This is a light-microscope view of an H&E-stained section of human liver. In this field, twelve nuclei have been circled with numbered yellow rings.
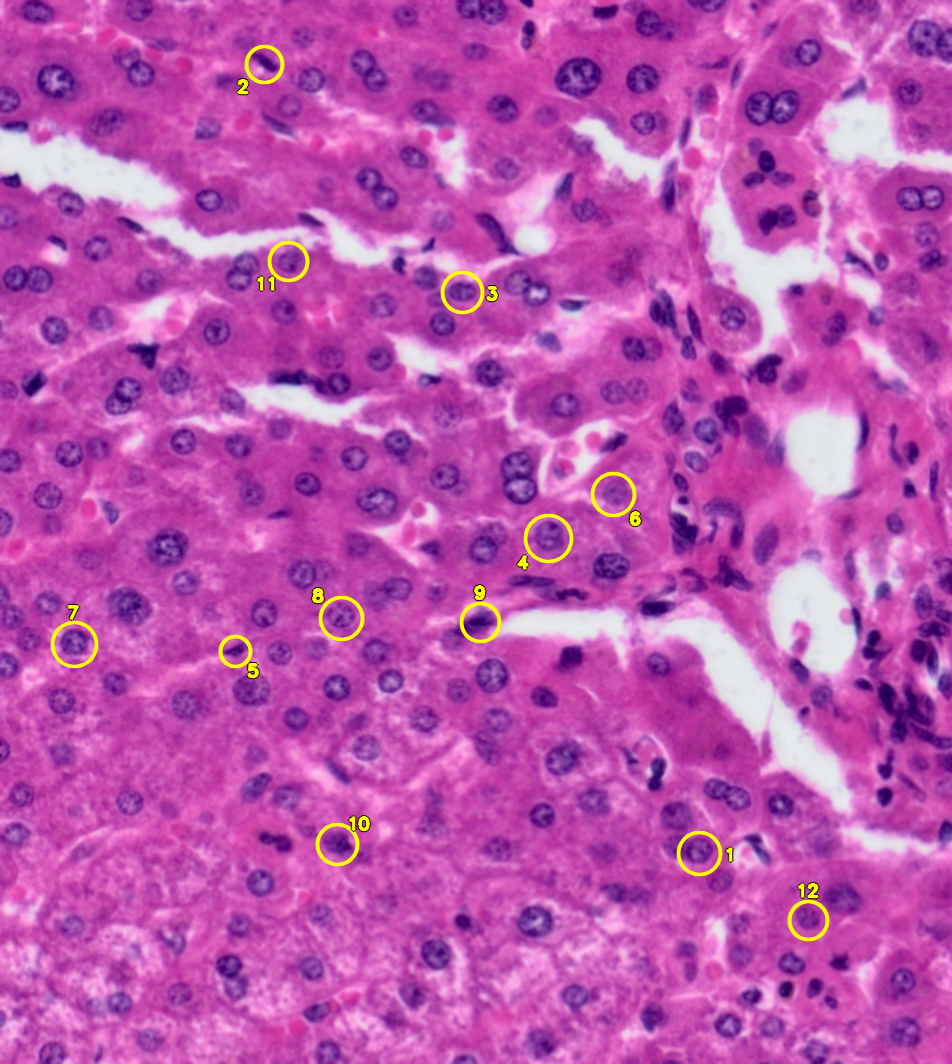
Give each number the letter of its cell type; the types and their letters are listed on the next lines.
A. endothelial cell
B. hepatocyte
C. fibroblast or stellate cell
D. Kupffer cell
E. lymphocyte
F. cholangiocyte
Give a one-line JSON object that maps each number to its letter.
{"1": "B", "2": "C", "3": "F", "4": "B", "5": "C", "6": "B", "7": "B", "8": "B", "9": "C", "10": "A", "11": "B", "12": "B"}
